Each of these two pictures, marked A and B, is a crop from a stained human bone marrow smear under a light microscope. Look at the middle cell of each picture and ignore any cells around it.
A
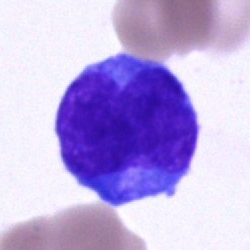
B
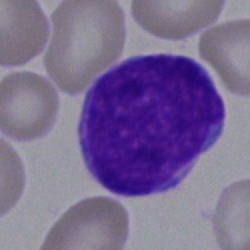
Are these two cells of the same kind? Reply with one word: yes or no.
yes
